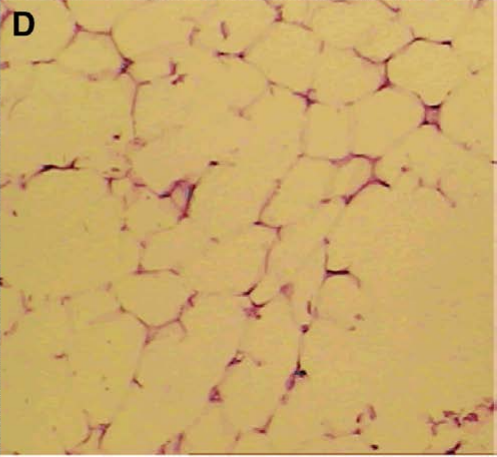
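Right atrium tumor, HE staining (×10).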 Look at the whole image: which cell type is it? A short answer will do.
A: Adipocytes.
